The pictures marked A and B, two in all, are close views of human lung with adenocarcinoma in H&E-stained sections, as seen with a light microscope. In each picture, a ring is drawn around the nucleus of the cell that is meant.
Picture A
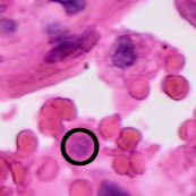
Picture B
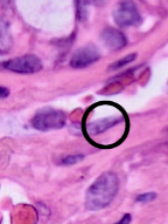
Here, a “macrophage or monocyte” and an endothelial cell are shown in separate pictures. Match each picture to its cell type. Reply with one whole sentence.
The cell in picture A is a “macrophage or monocyte”, and the one in picture B is an endothelial cell.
